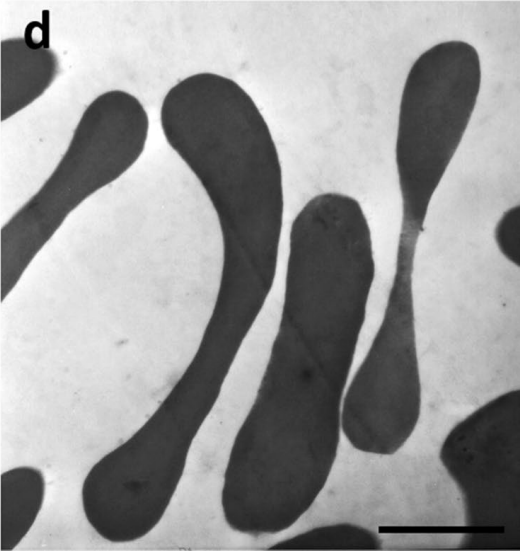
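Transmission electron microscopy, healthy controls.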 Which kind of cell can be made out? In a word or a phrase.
Erythrocytes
